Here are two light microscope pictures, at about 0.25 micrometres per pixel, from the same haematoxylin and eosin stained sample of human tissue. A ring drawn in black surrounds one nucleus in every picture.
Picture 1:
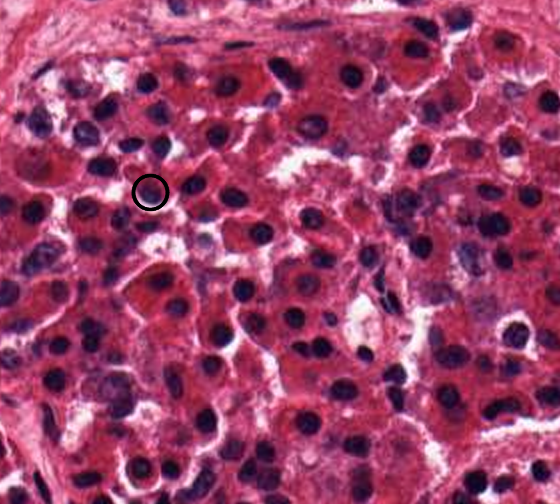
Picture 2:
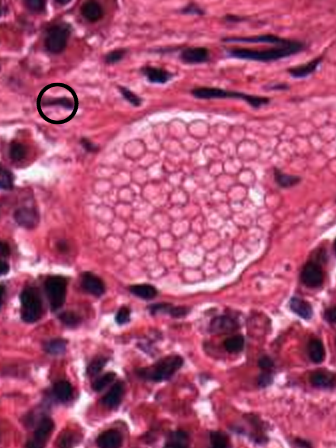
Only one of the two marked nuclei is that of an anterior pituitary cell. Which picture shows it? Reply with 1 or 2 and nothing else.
1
